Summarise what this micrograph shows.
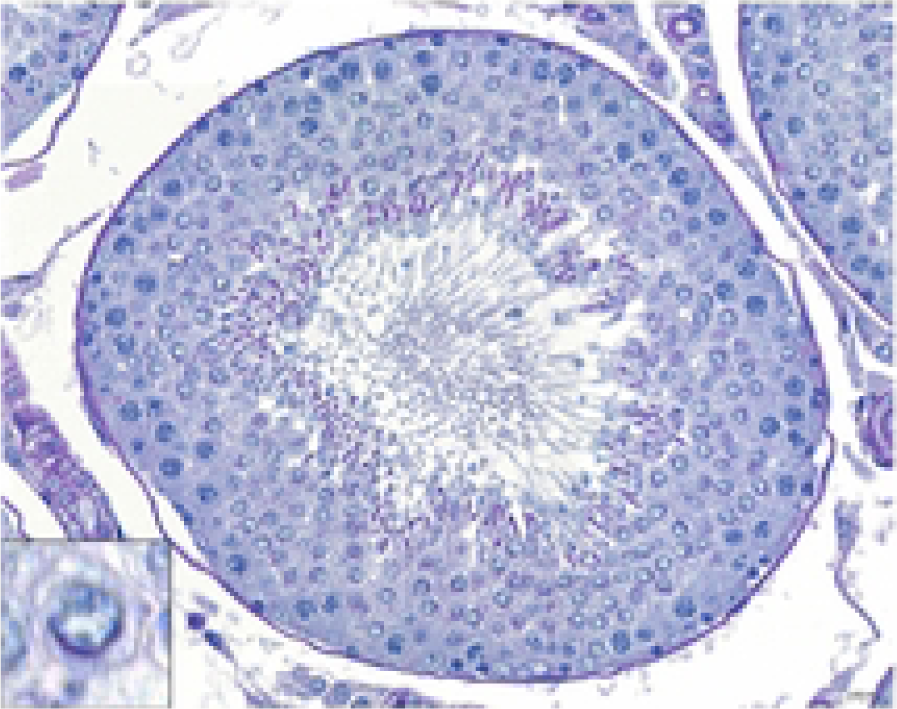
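This is a seminiferous tubule cut across, with a thick stratified germinal epithelium around a central lumen. Along the basement membrane lie small dark nuclei, above them larger round nuclei of germ cells, and toward the lumen many layers of round spermatids. Close to the lumen, a band of slender, dark magenta elongated heads crowds at the inner edge, with pale tails streaming into the lumen. The inset shows one round spermatid whose round nucleus carries a magenta cap over part of its surface. Thin interstitial tissue with vessels lies between this tubule and its neighbours.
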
